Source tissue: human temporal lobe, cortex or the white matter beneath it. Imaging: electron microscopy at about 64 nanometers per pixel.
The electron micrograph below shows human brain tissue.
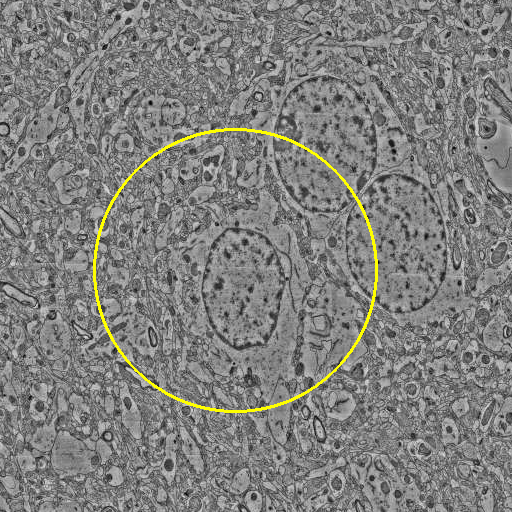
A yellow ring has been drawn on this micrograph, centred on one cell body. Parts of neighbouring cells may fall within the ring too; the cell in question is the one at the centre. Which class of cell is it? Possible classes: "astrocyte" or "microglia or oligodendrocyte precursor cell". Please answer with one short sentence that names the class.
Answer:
In the centre of the ring sits an astrocyte.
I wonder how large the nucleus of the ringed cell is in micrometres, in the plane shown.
The nucleus comes to roughly 8 by 5 micrometres in this plane.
